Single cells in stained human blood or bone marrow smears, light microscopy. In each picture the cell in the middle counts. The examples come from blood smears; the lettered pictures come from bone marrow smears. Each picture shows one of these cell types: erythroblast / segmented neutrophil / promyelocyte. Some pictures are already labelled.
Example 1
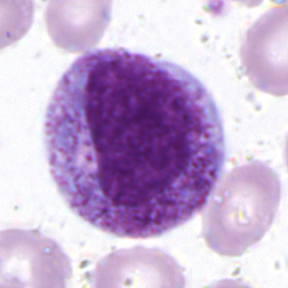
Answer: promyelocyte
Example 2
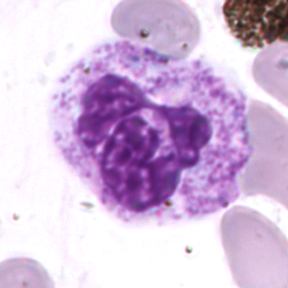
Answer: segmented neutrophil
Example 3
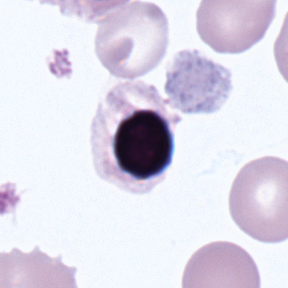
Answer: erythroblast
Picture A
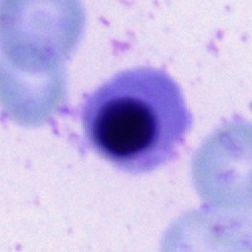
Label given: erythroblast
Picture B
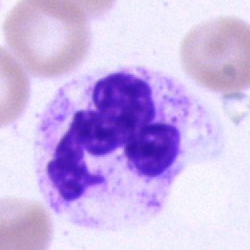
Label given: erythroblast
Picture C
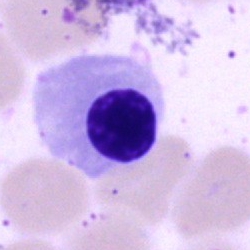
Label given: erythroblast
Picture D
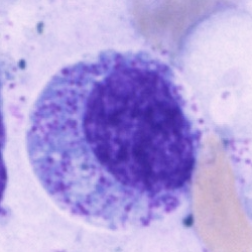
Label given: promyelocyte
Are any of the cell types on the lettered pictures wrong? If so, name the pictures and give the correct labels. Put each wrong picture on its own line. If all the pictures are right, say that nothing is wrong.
B: segmented neutrophil, not erythroblast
